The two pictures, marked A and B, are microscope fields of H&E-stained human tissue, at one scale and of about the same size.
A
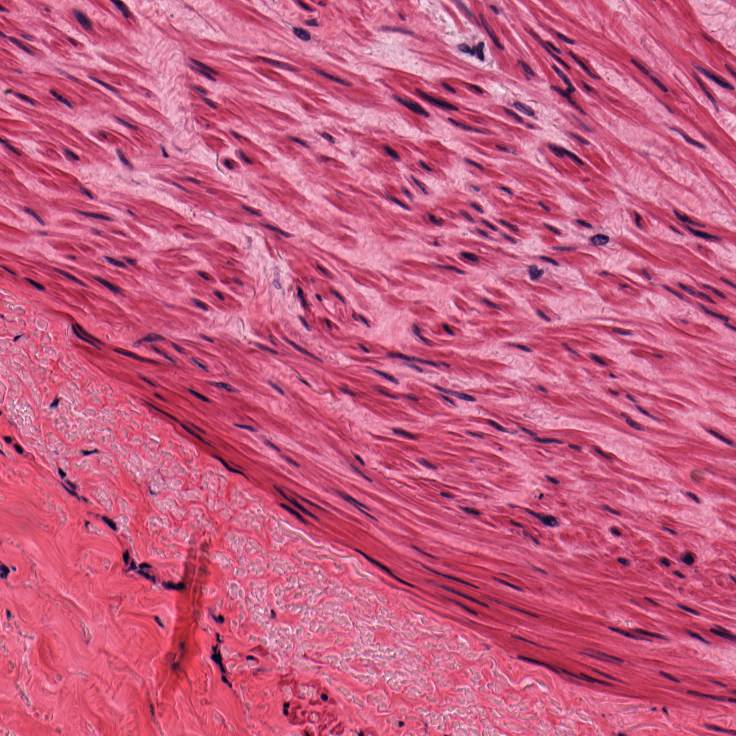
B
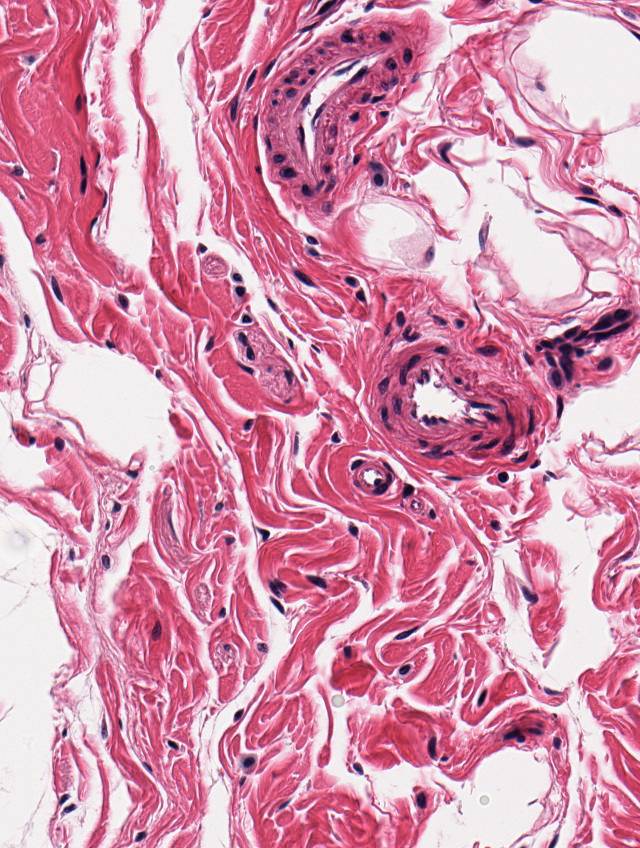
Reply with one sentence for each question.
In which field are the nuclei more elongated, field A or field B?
On the whole the nuclei of field A are more drawn out than those of field B.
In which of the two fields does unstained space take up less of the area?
Unstained space takes up less of field A than of field B.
